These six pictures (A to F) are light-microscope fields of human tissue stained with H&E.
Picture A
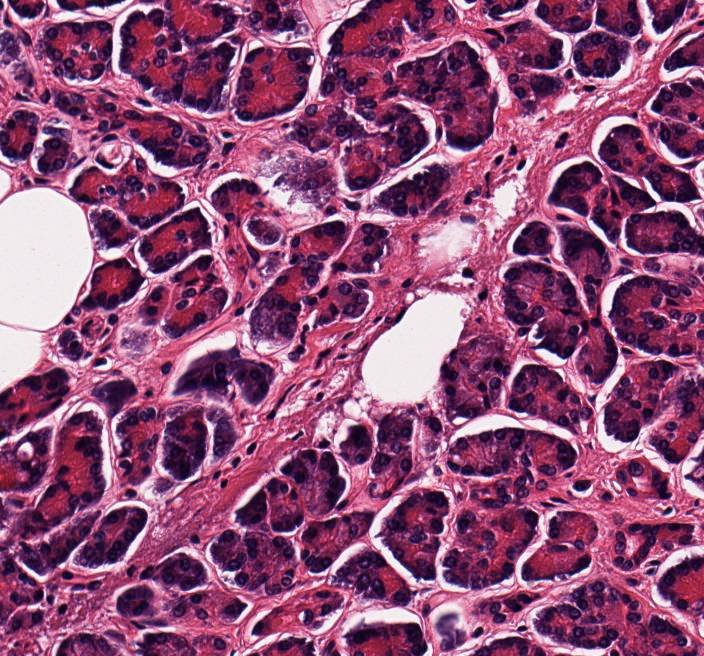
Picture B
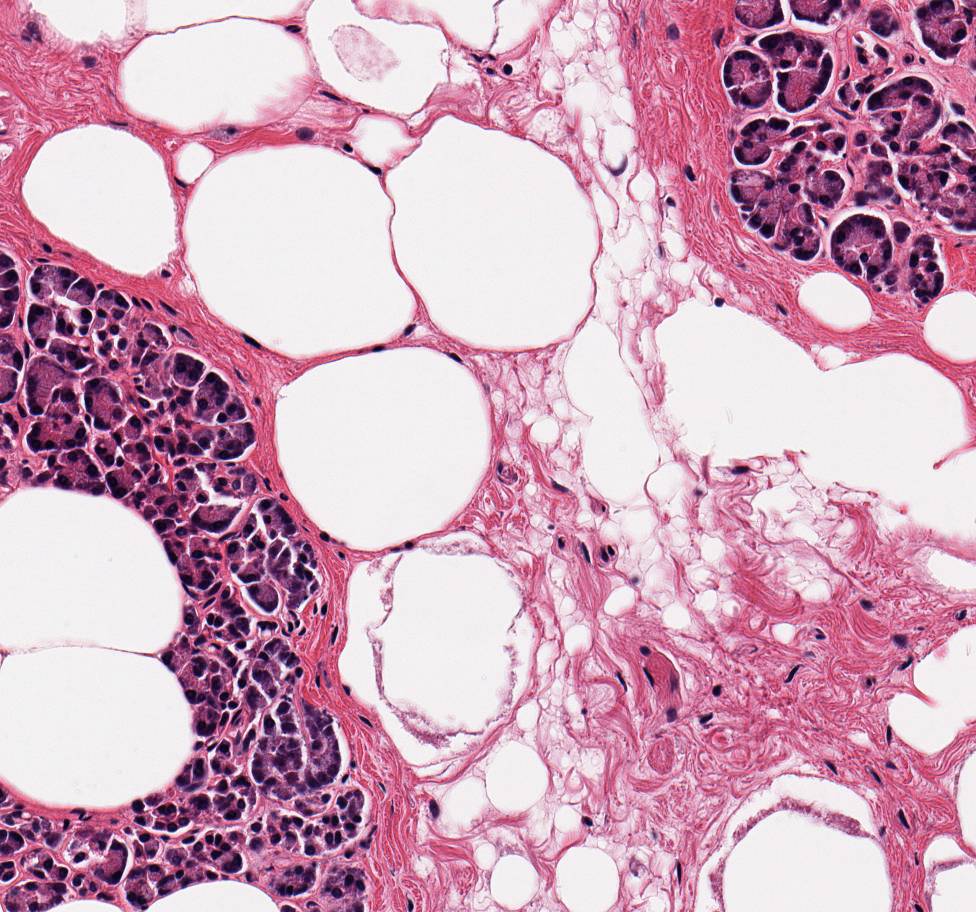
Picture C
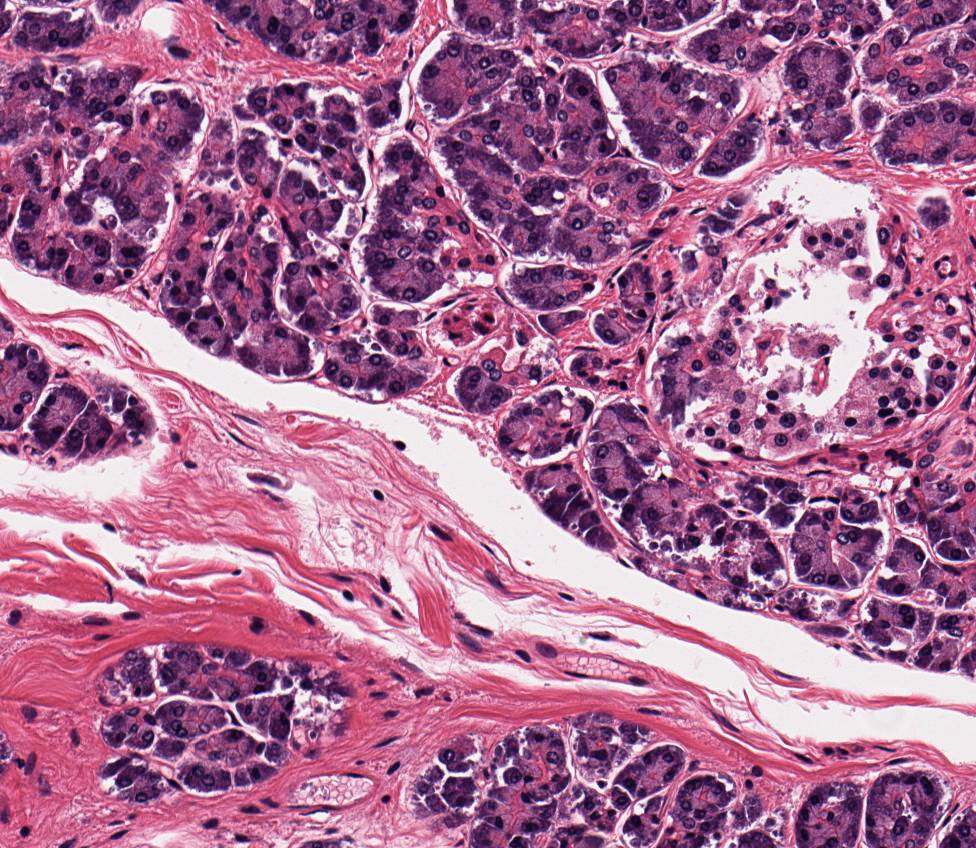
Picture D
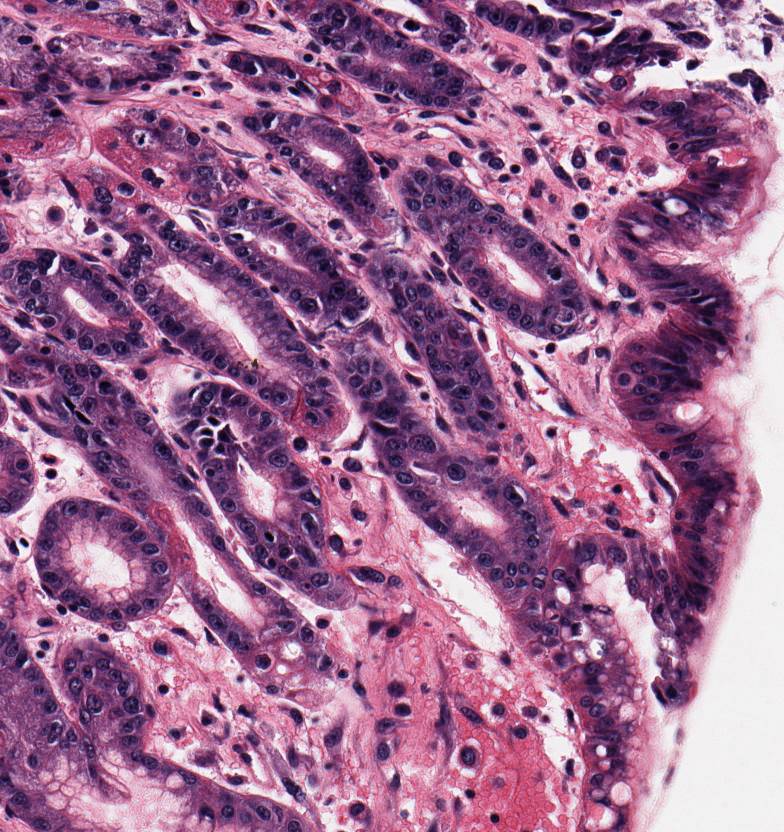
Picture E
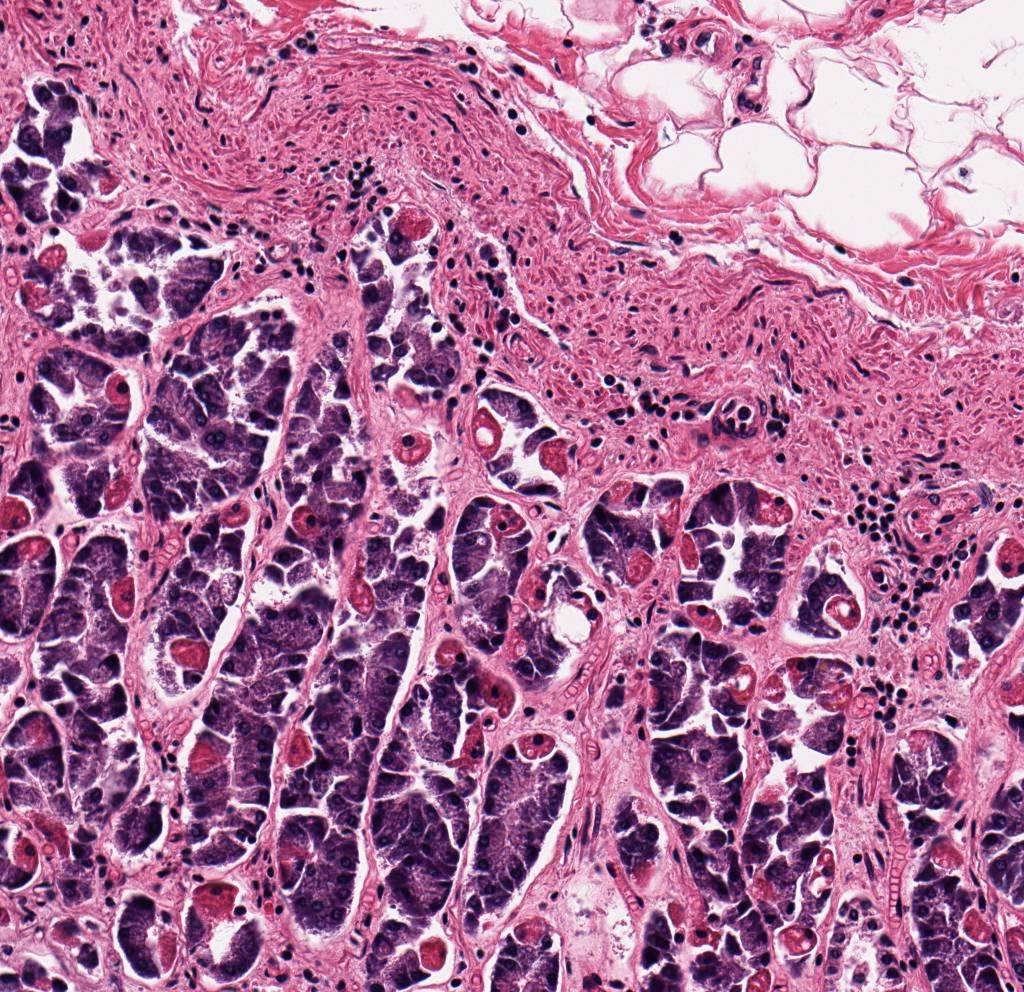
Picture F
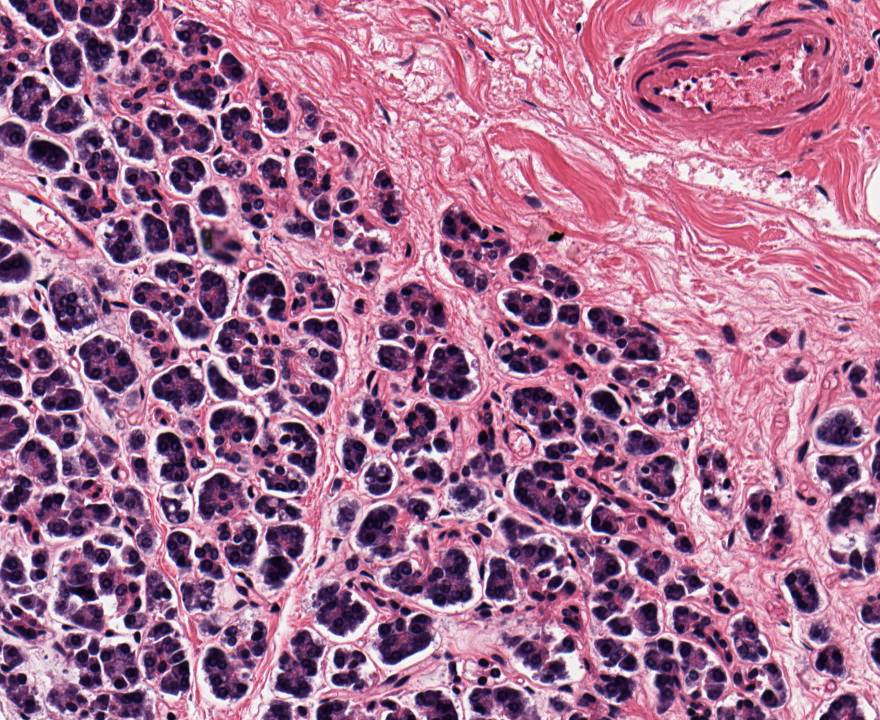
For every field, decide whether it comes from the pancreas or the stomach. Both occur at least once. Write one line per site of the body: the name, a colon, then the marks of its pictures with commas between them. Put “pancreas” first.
pancreas: A, B, C, F
stomach: D, E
